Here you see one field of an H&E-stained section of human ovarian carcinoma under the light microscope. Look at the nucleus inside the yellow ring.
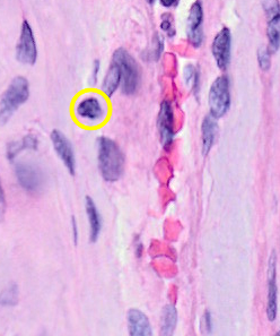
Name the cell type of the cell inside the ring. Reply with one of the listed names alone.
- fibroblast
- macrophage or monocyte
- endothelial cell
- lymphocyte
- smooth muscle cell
lymphocyte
